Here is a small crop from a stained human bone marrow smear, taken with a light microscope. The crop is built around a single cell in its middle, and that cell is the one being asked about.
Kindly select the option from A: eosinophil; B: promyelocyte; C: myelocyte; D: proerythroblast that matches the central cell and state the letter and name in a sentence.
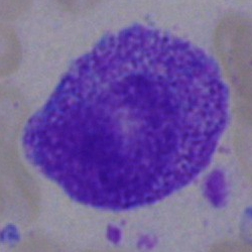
Option C is the right choice, the central cell being a myelocyte.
